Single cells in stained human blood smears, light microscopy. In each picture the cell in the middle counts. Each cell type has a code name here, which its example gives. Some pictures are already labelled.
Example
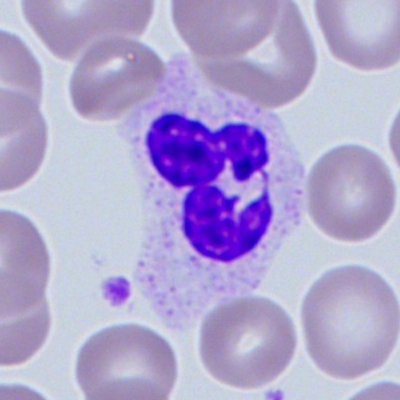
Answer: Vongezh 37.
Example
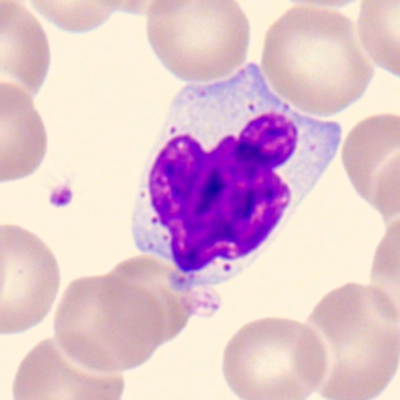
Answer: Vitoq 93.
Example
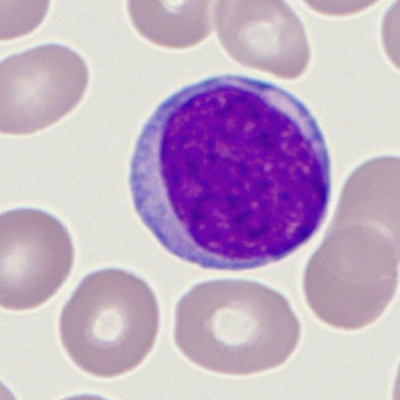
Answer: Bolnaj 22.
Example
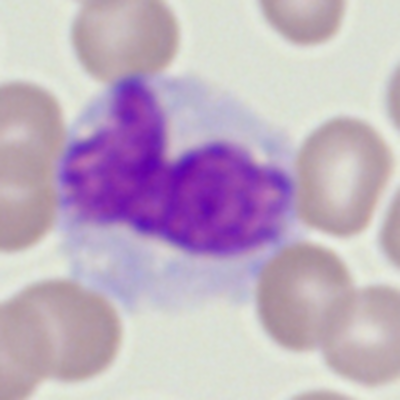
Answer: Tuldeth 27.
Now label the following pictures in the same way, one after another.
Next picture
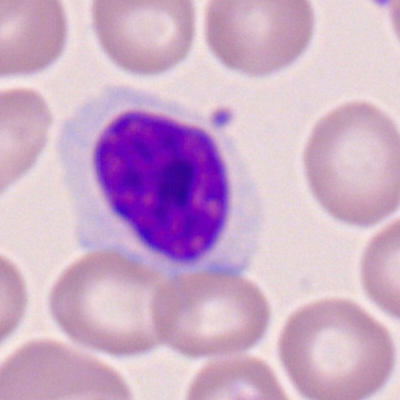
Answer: Vitoq 93.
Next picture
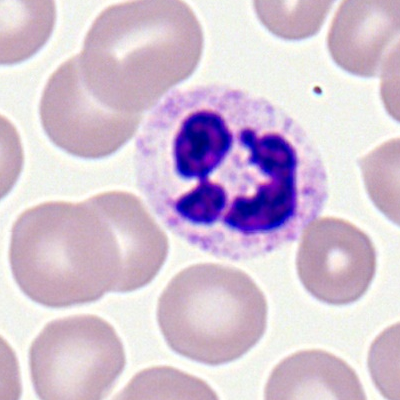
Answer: Vongezh 37.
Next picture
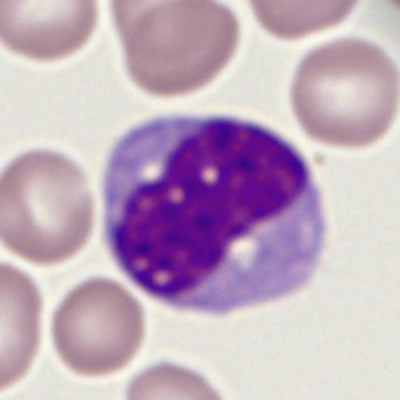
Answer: Tuldeth 27.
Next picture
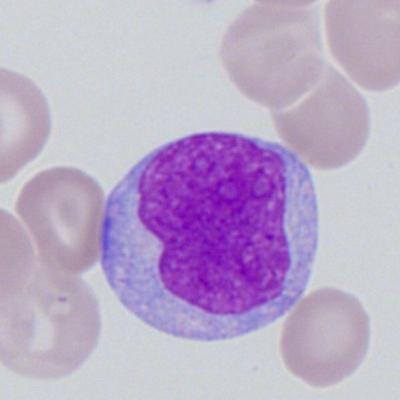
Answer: Bolnaj 22.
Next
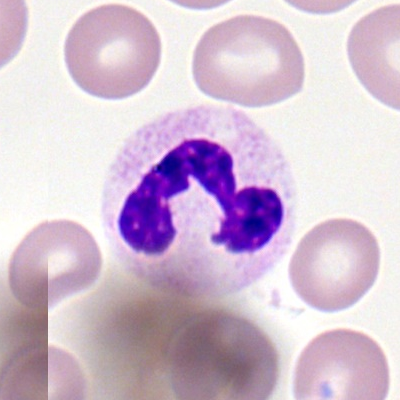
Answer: Vongezh 37.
